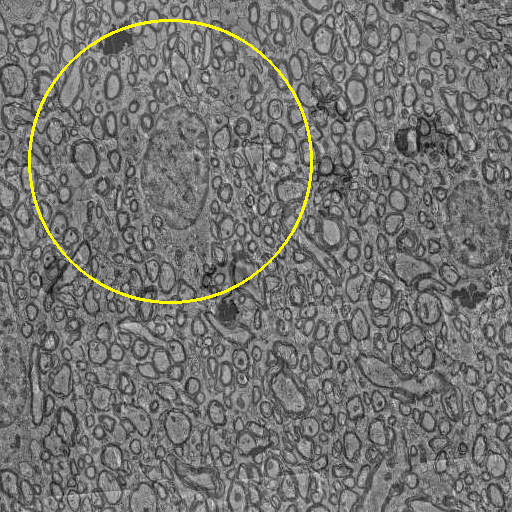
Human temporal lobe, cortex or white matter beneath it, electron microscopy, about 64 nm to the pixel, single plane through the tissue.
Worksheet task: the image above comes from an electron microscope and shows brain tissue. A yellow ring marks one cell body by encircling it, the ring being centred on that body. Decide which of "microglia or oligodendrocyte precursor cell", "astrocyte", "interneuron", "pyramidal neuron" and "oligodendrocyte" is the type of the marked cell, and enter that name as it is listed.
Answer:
oligodendrocyte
